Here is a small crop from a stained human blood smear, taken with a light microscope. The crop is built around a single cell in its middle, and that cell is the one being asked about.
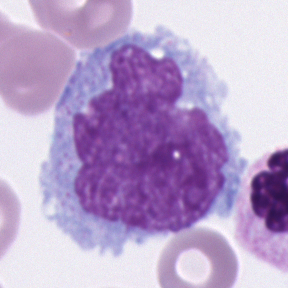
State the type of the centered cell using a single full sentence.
This crop is built around a monocyte at its centre.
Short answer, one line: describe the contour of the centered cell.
Along the periphery, ragged stretches or projections make the outline irregular.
